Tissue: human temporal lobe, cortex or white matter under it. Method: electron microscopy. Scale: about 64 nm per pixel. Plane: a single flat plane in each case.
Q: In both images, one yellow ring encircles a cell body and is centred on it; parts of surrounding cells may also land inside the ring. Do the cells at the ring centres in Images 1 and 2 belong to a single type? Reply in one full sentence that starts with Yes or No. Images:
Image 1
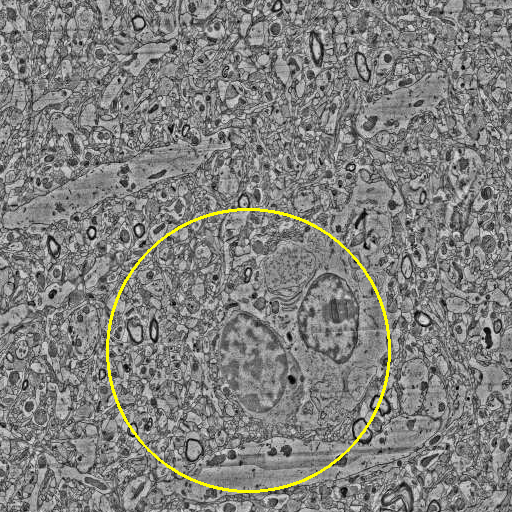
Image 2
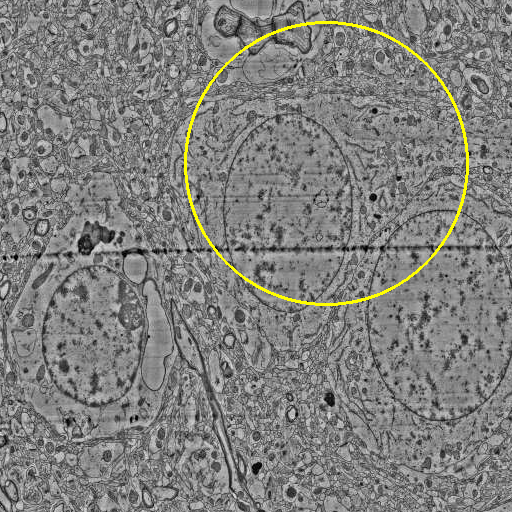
No, the cells at the ring centres in Images 1 and 2 are of two types.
